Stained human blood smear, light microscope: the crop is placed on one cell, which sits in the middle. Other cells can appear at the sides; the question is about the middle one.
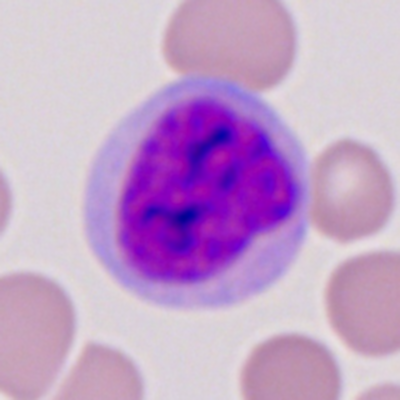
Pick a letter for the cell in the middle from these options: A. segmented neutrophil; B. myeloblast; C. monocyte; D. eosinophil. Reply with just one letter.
C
